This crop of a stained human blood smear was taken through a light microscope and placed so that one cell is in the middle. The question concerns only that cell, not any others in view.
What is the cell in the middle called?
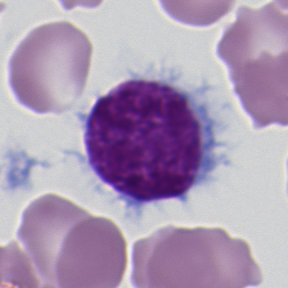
hairy cell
